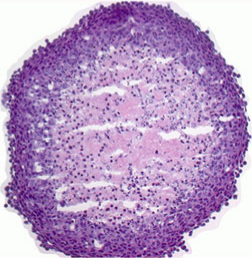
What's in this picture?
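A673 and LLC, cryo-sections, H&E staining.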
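A section through a spheroid of tumour cells stained with hematoxylin and eosin shows a roughly round cell mass whose outer rim is a dense band of closely packed cells with dark purple nuclei. Toward the centre the nuclei become sparse and the tissue turns pale pink and structureless, a necrotic core. Several slit-like empty white clefts run across the pale central region. The outer edge of the mass is irregular, with loosely attached cells at the surface.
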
